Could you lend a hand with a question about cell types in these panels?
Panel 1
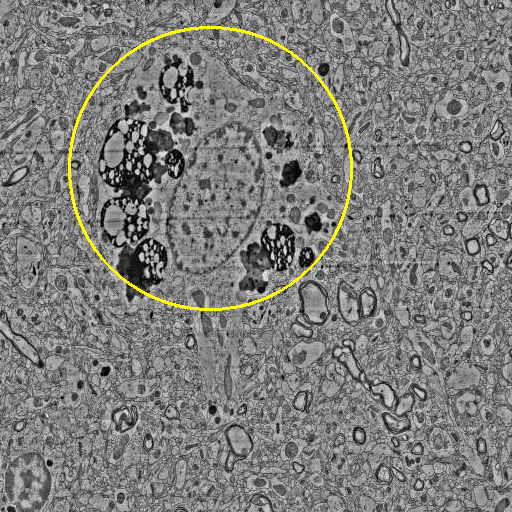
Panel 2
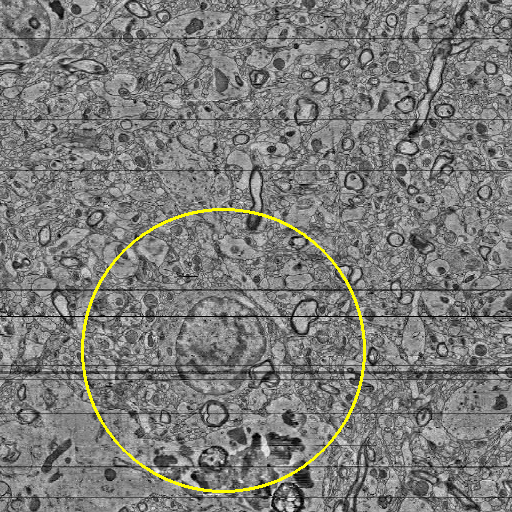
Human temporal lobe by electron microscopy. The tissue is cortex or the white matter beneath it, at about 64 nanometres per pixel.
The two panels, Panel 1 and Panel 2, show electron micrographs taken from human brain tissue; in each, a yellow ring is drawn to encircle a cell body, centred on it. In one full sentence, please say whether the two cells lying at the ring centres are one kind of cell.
No, the cells at the ring centres in the two panels are two kinds of cell.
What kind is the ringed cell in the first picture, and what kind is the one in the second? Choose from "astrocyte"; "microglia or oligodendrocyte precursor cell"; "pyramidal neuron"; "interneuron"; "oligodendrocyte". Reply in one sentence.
The first cell is an astrocyte; the second is an oligodendrocyte.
